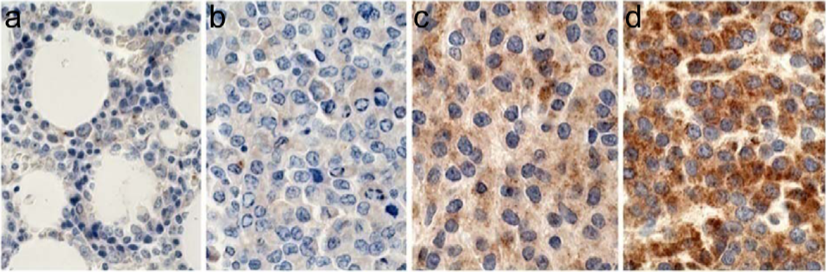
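In the first image, the normal marrow shows small, blue-counterstained blood-forming cells packed between large, round, empty spaces left by fat cells, with no brown stain. The other three images show dense sheets of larger cells with round to oval nuclei, some set to one side, and a rim of cytoplasm. The brown stain in this cytoplasm goes from faint or absent, to patchy, to heavy and granular across the three images. The nuclei stay blue throughout, so the stain lies in the cytoplasm.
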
